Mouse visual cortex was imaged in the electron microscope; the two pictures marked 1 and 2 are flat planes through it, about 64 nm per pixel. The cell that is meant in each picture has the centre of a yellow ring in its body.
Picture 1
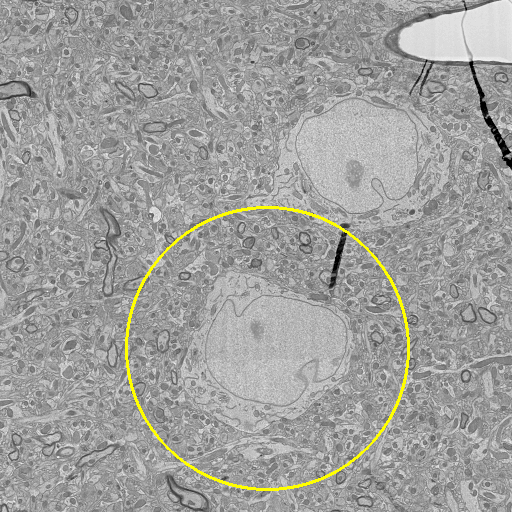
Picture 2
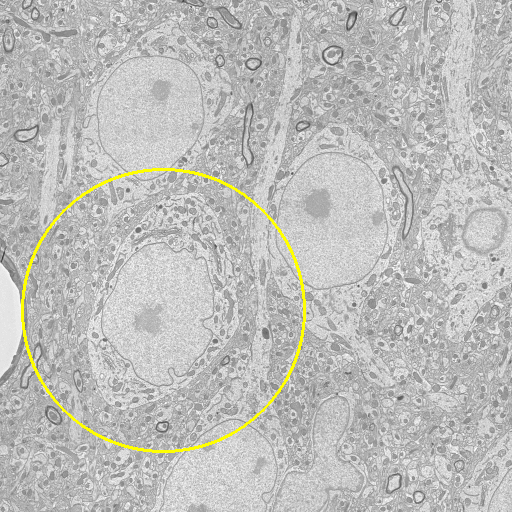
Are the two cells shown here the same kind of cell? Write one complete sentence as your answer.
No; the cell in picture 1 is an excitatory neuron, while the one in picture 2 is an inhibitory neuron.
